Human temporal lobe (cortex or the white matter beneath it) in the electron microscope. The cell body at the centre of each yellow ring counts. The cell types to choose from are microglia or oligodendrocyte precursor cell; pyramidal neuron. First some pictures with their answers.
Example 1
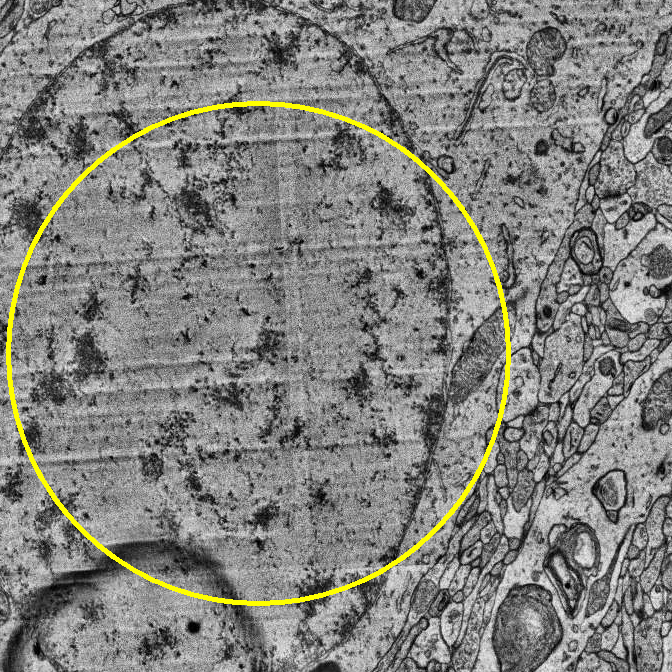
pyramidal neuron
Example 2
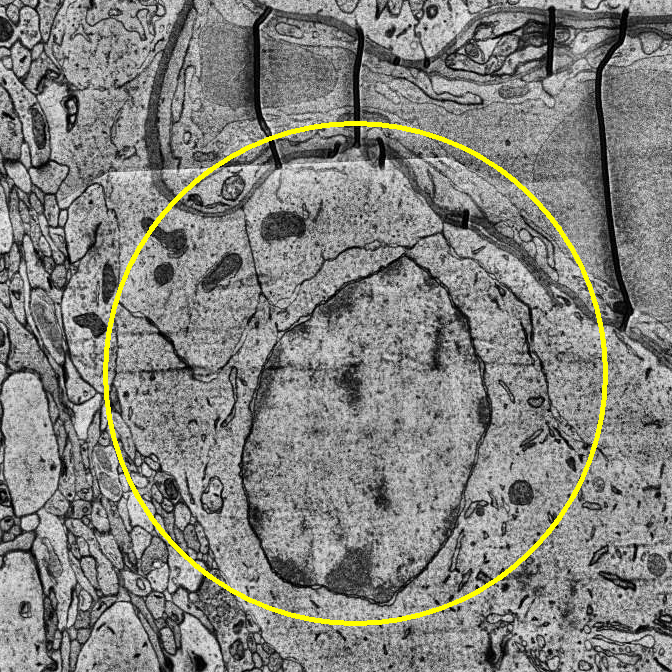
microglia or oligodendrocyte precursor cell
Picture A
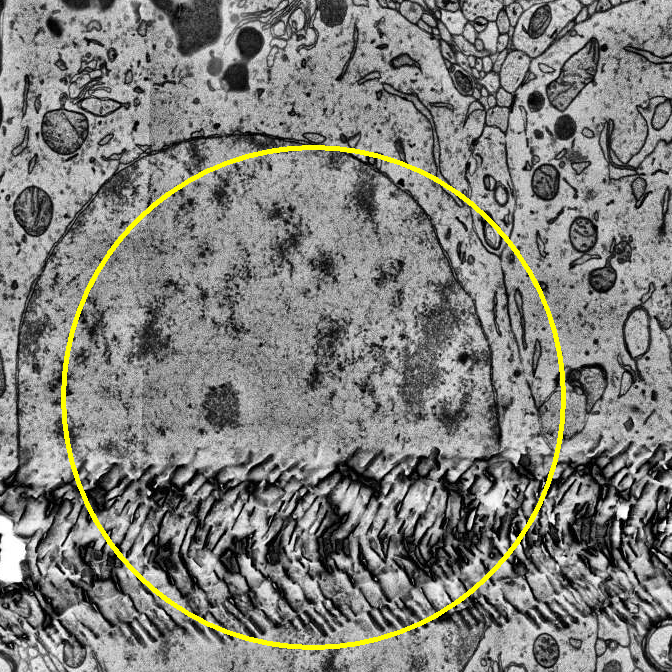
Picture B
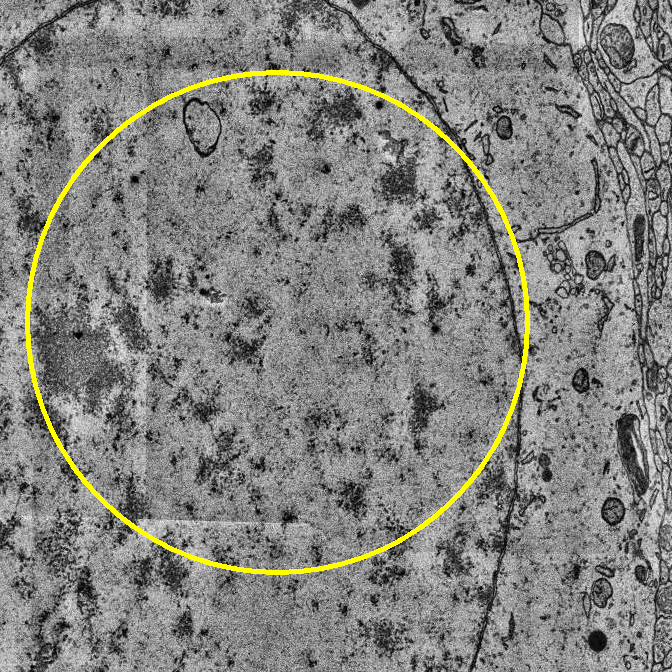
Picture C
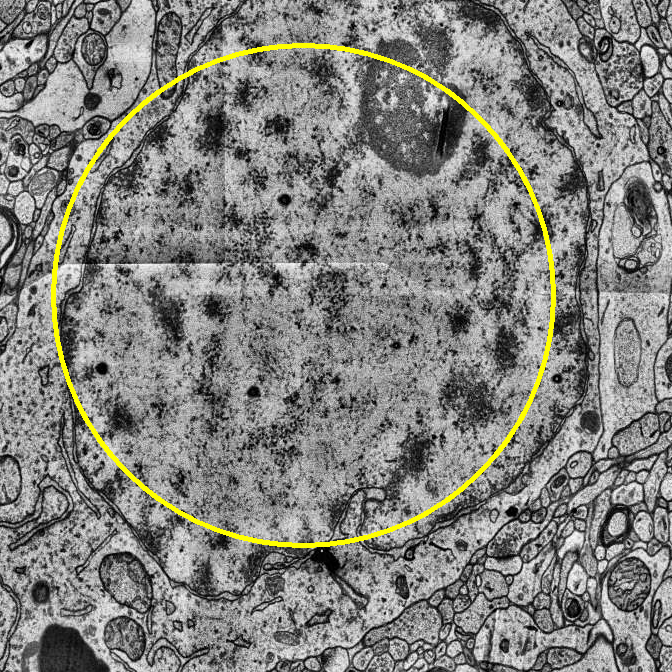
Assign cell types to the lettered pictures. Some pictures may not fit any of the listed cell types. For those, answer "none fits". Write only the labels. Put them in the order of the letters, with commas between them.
none fits, pyramidal neuron, none fits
